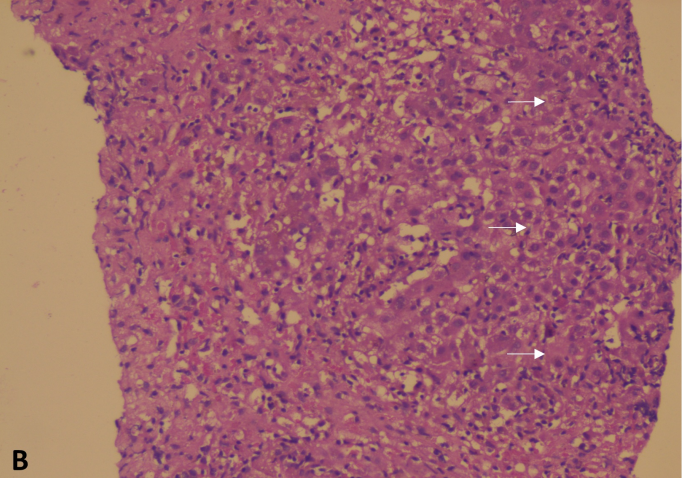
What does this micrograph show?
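This liver core shows islands of hepatocytes set within damaged tissue. The hepatocytes are large polygonal cells with pink cytoplasm and round nuclei, gathered in clusters. Between these clusters the tissue is looser, with open spaces and many smaller, darker nuclei of infiltrating cells, especially toward the edges of the core.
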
